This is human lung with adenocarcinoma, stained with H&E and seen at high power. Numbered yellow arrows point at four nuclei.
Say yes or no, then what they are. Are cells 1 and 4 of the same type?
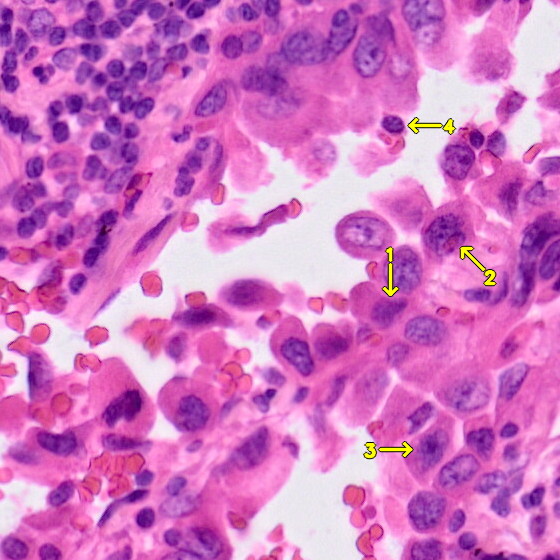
No, the cell numbered 1 is a carcinoma cell, and the cell numbered 4 is a lymphocyte.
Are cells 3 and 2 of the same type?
Yes, by cell type, cells 3 and 2 are both carcinoma cells.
